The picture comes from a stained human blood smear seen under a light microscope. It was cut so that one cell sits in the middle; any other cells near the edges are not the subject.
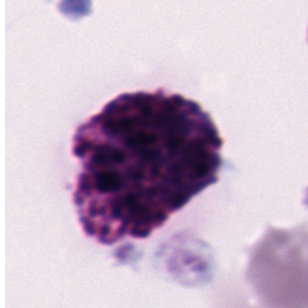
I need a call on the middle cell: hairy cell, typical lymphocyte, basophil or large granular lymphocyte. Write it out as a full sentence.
Centred in the crop is a basophil.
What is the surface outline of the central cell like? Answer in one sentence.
An irregular outline, ragged or marked by projections, surrounds this cell.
